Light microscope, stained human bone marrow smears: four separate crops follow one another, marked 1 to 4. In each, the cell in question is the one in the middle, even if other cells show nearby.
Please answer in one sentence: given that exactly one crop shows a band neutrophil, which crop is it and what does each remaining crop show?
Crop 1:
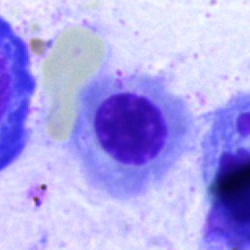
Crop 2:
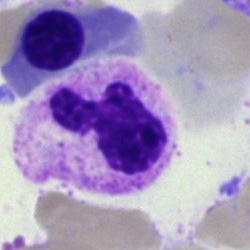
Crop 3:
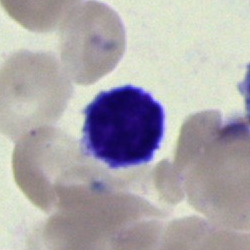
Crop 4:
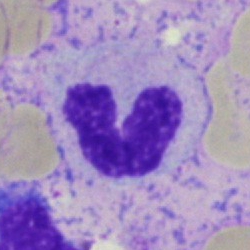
The crop labelled 4 shows a band neutrophil, whereas crop 1 is a normoblast, crop 2 is a segmented neutrophil and crop 3 is a lymphocyte.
